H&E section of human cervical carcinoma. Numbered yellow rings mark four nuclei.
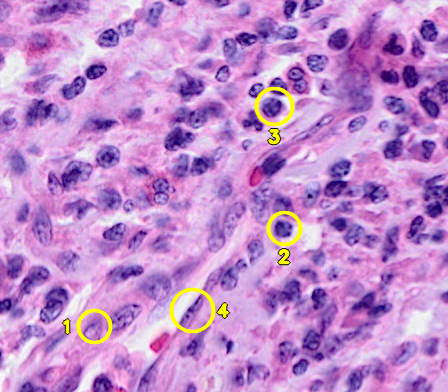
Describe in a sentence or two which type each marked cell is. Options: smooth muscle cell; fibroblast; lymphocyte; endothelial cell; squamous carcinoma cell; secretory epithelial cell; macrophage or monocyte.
Cells 1 and 4 are endothelial cells. Cells 2 and 3 are lymphocytes.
